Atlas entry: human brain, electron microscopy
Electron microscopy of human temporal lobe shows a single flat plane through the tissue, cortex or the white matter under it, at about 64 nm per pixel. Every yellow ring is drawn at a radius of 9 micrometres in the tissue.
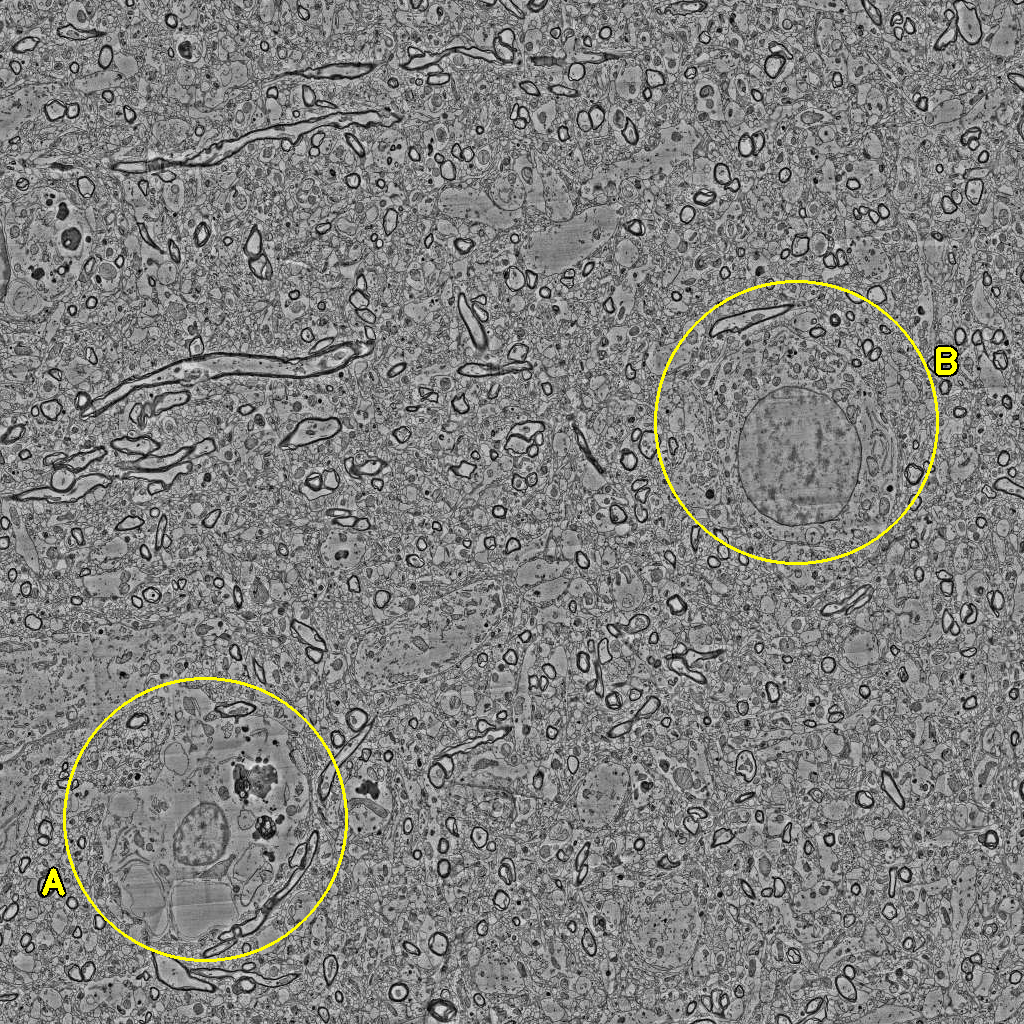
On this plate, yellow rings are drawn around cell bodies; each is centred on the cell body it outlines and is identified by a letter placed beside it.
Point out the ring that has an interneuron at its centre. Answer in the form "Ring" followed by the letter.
Ring B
